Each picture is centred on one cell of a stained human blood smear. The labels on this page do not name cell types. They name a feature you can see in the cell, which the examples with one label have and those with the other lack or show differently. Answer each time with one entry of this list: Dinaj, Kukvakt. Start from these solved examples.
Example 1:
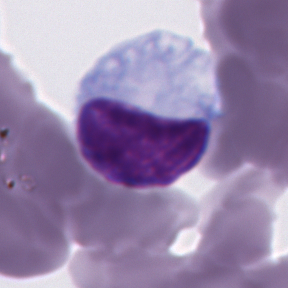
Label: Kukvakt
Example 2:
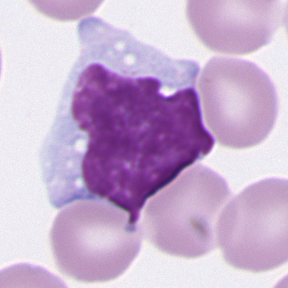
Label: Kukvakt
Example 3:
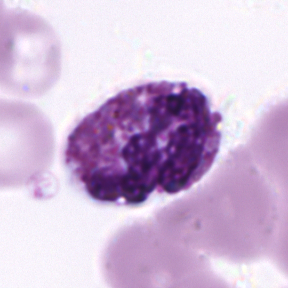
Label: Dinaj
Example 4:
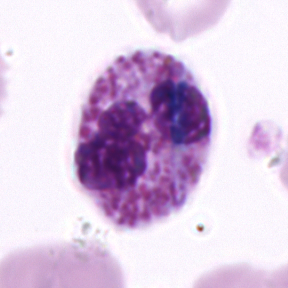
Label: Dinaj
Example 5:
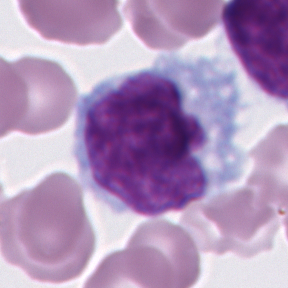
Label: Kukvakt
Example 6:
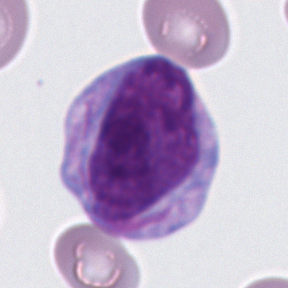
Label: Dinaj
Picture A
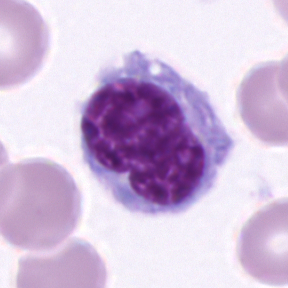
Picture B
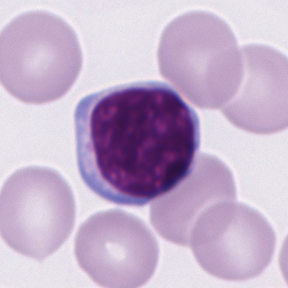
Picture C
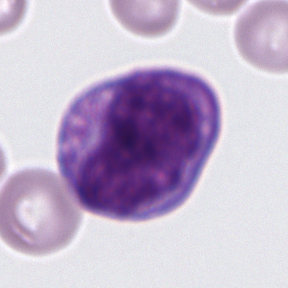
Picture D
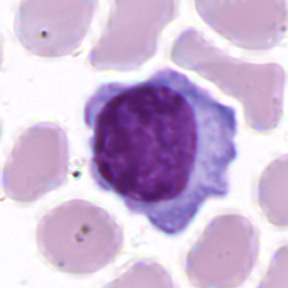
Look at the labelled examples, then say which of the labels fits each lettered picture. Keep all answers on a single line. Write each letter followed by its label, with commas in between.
A Kukvakt, B Dinaj, C Dinaj, D Dinaj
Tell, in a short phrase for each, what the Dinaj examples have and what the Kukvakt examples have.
Dinaj, no vacuoles; Kukvakt, vacuoles present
